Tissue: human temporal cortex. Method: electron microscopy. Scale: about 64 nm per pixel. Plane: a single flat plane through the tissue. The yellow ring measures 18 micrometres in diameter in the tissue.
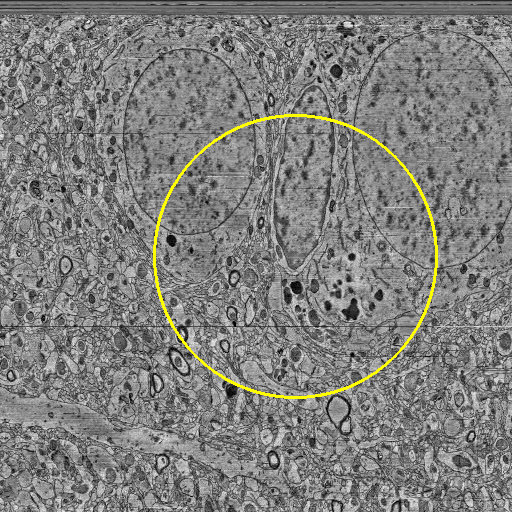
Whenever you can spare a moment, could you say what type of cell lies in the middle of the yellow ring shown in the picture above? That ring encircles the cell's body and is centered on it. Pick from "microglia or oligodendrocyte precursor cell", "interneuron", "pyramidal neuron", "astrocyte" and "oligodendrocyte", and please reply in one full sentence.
The cell whose body sits at the middle of the yellow ring is a microglial cell or oligodendrocyte precursor cell.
